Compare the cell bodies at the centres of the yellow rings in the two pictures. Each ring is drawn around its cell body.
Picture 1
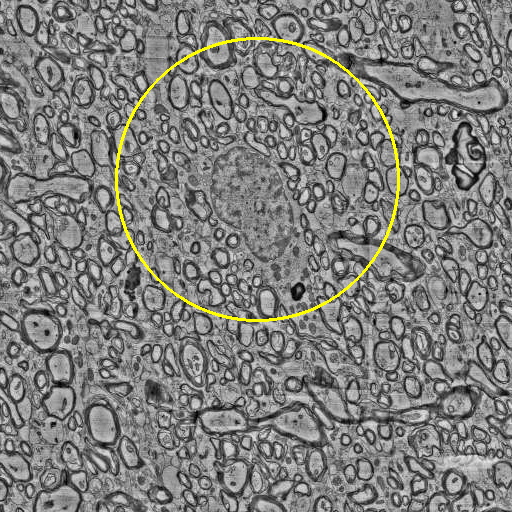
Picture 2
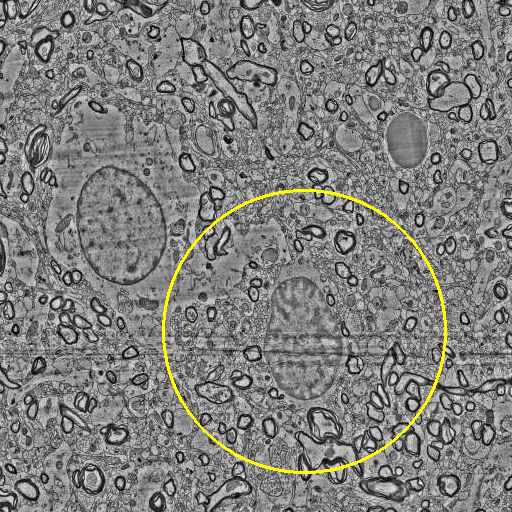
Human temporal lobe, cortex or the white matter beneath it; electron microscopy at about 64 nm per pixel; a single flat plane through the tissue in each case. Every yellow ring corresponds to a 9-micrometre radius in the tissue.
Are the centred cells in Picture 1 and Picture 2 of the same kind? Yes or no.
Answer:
yes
